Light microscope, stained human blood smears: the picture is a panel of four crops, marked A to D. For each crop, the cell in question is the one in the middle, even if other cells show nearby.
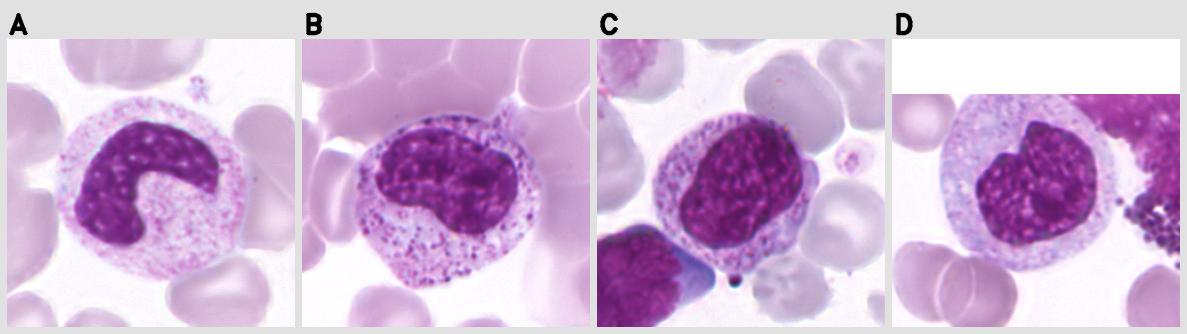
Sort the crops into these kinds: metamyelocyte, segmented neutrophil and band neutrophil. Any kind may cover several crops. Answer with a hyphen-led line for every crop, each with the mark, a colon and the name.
- A: band neutrophil
- B: metamyelocyte
- C: metamyelocyte
- D: metamyelocyte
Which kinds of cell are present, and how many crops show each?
metamyelocyte: 3
band neutrophil: 1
